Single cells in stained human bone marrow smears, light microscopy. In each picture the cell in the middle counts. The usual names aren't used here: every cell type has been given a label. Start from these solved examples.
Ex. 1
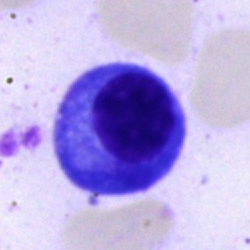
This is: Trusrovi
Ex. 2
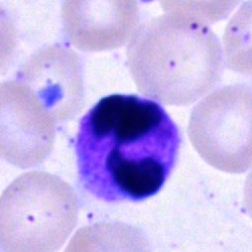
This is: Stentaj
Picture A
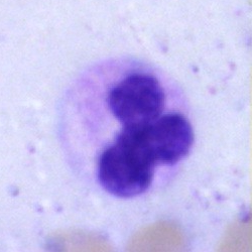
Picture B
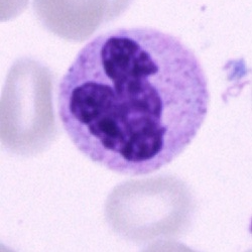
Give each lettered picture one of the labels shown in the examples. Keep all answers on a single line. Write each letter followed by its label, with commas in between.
A Stentaj, B Stentaj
